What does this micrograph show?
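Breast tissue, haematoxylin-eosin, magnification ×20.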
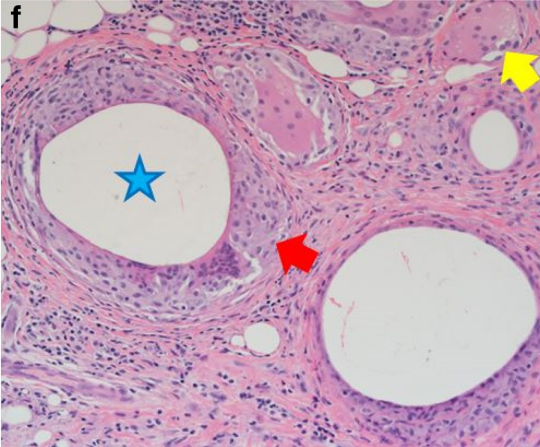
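Along the vacuole edges sit histiocytes, and nearby lie large cells with abundant pink cytoplasm and several nuclei, the foreign body–type giant cells. Between the vacuoles the stroma is crowded with small dark round nuclei of lymphocytes, and small fat cells appear as empty white spaces at the edges.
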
